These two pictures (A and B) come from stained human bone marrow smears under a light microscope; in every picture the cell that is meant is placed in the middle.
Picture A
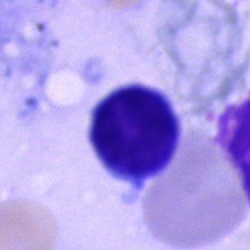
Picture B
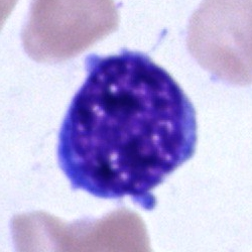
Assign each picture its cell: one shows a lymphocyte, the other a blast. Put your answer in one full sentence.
Picture B shows a blast, while picture A shows a lymphocyte.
